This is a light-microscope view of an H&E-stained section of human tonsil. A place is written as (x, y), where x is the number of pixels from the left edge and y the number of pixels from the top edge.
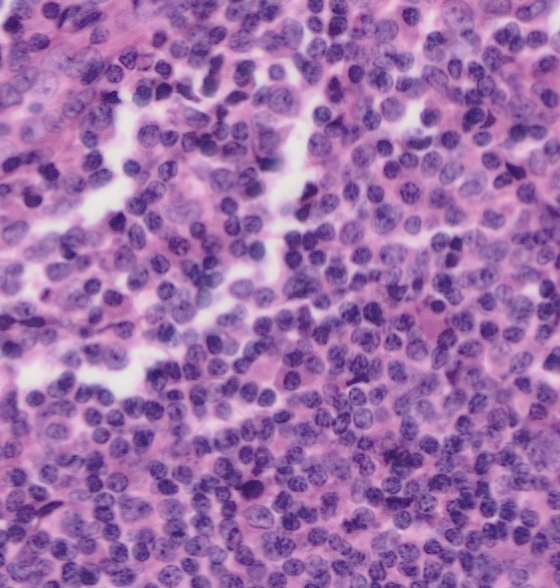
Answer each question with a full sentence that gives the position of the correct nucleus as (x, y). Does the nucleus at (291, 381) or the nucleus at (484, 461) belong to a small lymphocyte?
The one at (484, 461) is the nucleus belonging to a small lymphocyte, not the other one.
